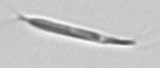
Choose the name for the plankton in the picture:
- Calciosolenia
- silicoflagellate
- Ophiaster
Calciosolenia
